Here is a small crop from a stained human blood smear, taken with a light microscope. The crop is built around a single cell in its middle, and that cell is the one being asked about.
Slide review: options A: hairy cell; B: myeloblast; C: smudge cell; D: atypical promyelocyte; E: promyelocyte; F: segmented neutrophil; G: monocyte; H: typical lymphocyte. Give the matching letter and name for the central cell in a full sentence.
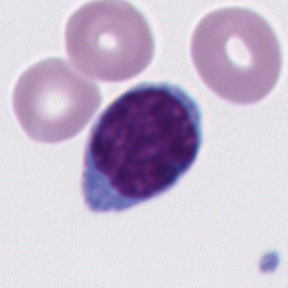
The central cell in this crop is a typical lymphocyte, so the correct choice is option H.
